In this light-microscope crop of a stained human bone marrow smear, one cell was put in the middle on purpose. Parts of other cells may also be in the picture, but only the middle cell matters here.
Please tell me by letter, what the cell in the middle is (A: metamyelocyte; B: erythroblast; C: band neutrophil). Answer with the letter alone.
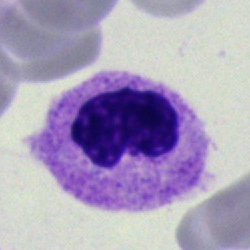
C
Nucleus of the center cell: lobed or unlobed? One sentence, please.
What stands out is a nucleus forming one compact round, oval or kidney-shaped mass.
